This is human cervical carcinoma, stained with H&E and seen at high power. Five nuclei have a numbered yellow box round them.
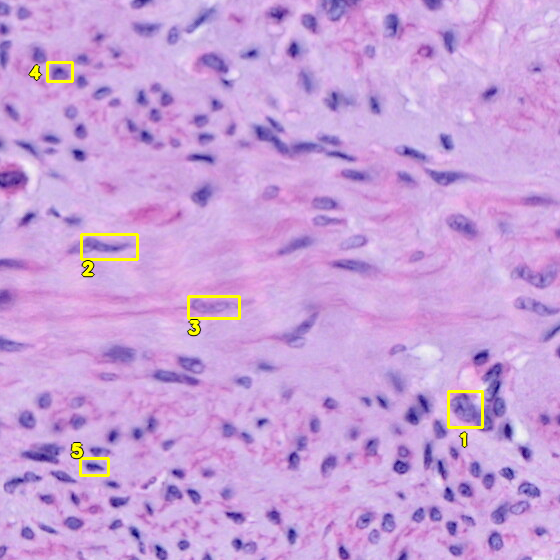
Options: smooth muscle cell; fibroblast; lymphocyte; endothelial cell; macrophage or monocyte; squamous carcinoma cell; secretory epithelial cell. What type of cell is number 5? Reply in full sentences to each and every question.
The cell tagged with 5 in this tissue section is a fibroblast.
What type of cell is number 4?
The numeral 4 marks a smooth muscle cell in this section.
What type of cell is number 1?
The cell whose nucleus carries the number 1 is an endothelial cell.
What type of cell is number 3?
In this section, the cell tagged 3 is a smooth muscle cell.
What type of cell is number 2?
The cell pointed out as number 2 is a fibroblast.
